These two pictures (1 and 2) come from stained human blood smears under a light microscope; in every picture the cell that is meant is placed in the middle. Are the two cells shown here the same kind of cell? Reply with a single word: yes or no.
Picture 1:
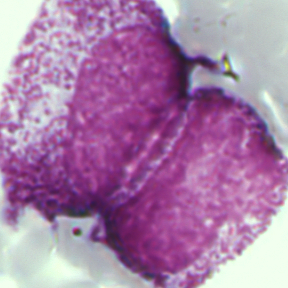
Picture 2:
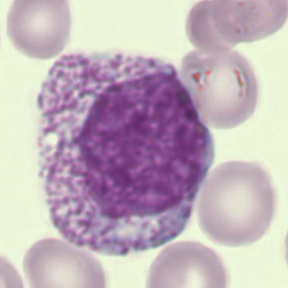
no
